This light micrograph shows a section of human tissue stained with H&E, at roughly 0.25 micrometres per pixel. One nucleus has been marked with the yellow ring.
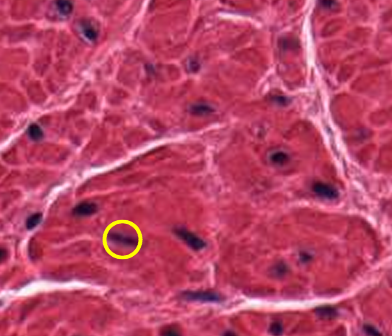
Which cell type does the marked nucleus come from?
smooth muscle cell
